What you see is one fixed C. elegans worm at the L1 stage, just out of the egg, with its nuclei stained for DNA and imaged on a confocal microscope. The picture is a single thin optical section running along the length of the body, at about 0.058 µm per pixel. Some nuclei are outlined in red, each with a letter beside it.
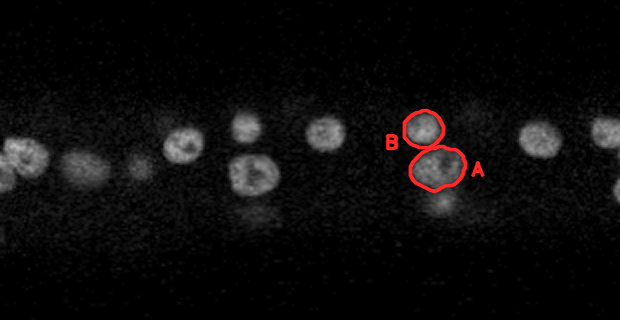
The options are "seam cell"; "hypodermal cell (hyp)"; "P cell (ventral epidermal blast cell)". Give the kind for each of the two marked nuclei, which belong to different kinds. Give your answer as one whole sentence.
A is the nucleus of a hypodermal cell (hyp); B is the nucleus of a P cell (ventral epidermal blast cell).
